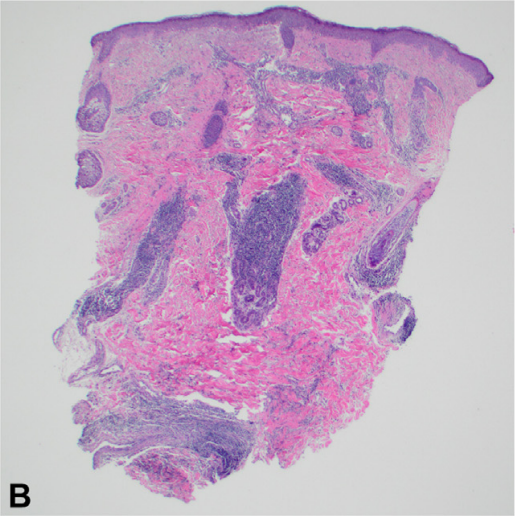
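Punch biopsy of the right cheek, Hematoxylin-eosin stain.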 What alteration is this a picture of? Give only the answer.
Superficial and deep perivascular and periadnexal lymphocytic infiltrate.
